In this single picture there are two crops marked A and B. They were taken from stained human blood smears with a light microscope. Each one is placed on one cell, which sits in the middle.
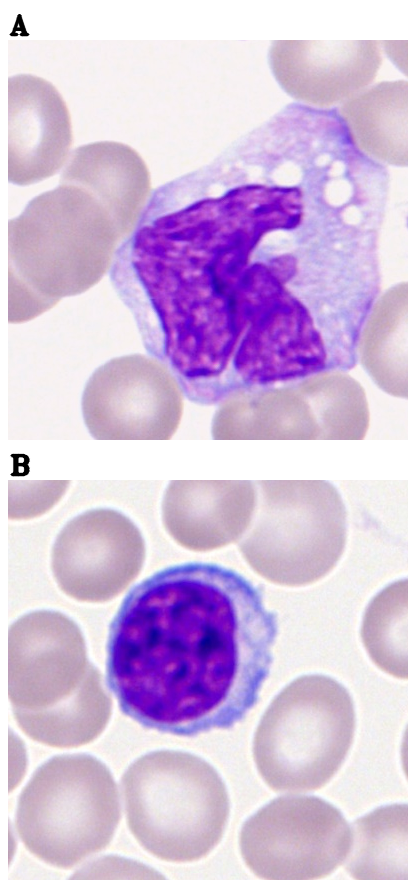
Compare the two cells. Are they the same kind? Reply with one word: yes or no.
no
